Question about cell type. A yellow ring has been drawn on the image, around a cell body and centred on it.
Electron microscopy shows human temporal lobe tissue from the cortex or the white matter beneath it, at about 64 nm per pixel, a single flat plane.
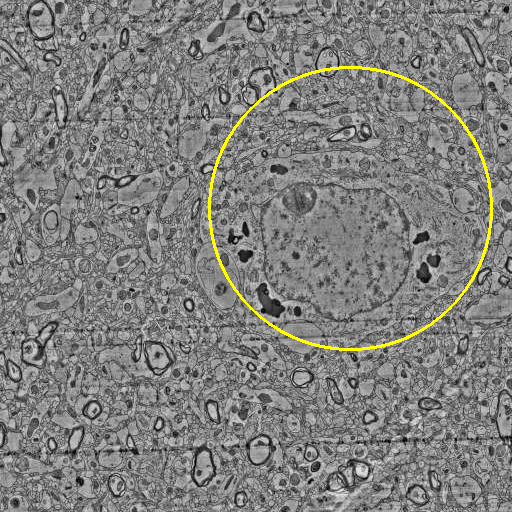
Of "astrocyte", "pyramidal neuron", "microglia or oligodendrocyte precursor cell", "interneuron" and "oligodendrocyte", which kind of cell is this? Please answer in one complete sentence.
At the centre of the ring lies an interneuron.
